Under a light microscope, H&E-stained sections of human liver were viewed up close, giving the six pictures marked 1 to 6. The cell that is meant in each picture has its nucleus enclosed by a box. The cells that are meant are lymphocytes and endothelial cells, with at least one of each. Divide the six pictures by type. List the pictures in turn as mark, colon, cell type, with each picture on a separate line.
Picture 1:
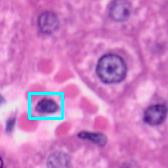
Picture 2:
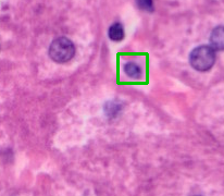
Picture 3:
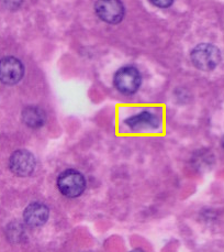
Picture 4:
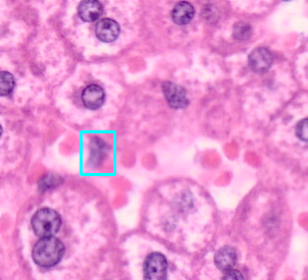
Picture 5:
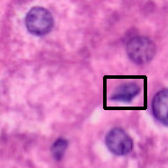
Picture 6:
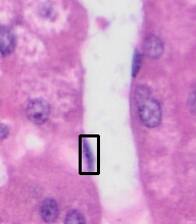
1: lymphocyte
2: lymphocyte
3: endothelial cell
4: endothelial cell
5: endothelial cell
6: endothelial cell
